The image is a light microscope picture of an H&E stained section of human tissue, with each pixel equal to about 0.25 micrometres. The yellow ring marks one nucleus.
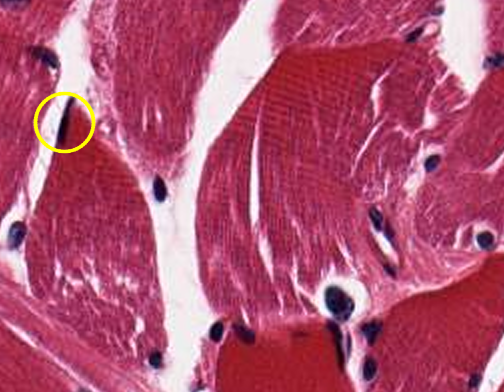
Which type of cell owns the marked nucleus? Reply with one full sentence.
The marked nucleus is contained in a skeletal muscle fibre.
